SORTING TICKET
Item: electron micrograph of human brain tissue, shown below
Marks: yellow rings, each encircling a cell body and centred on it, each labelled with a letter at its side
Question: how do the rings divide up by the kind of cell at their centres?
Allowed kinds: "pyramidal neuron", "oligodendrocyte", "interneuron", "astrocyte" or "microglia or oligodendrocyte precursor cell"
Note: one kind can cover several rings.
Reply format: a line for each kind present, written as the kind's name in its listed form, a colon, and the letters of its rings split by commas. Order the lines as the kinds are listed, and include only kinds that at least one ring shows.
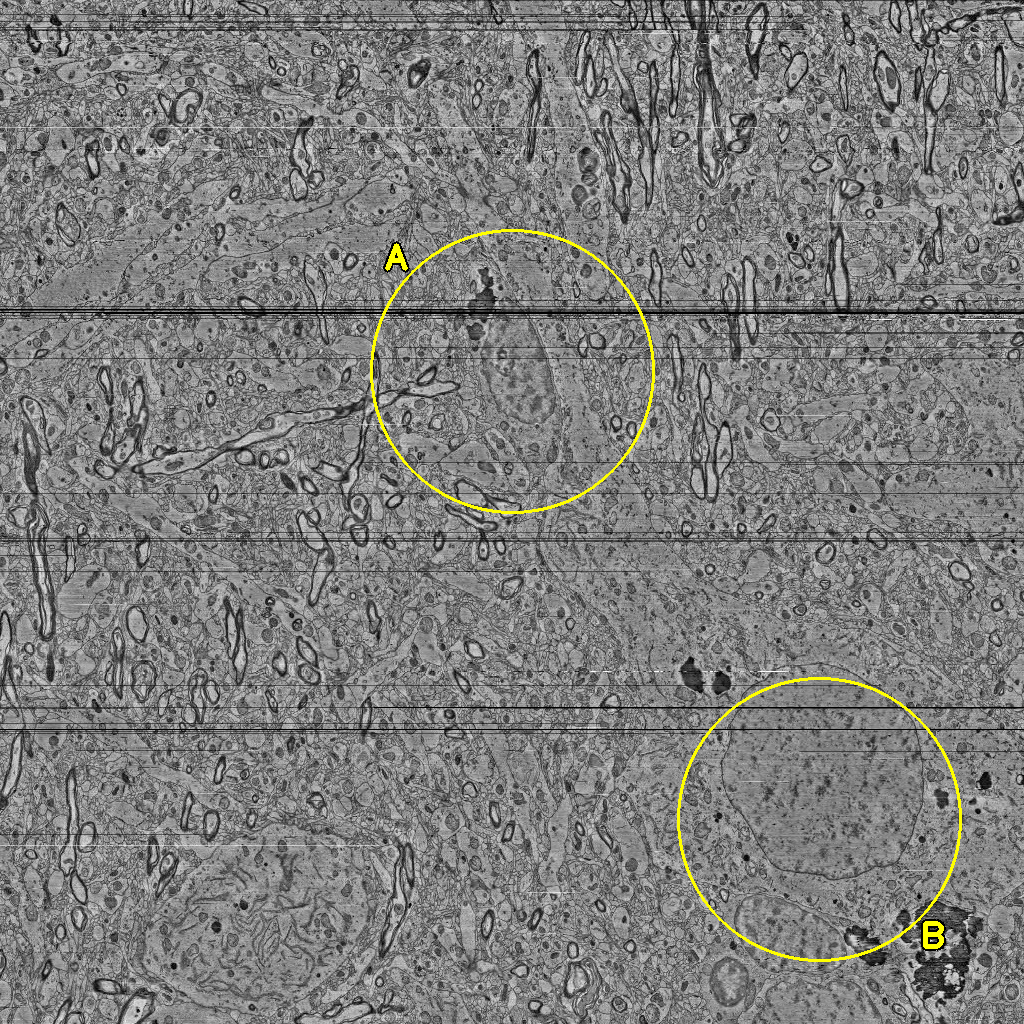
pyramidal neuron: B
oligodendrocyte: A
